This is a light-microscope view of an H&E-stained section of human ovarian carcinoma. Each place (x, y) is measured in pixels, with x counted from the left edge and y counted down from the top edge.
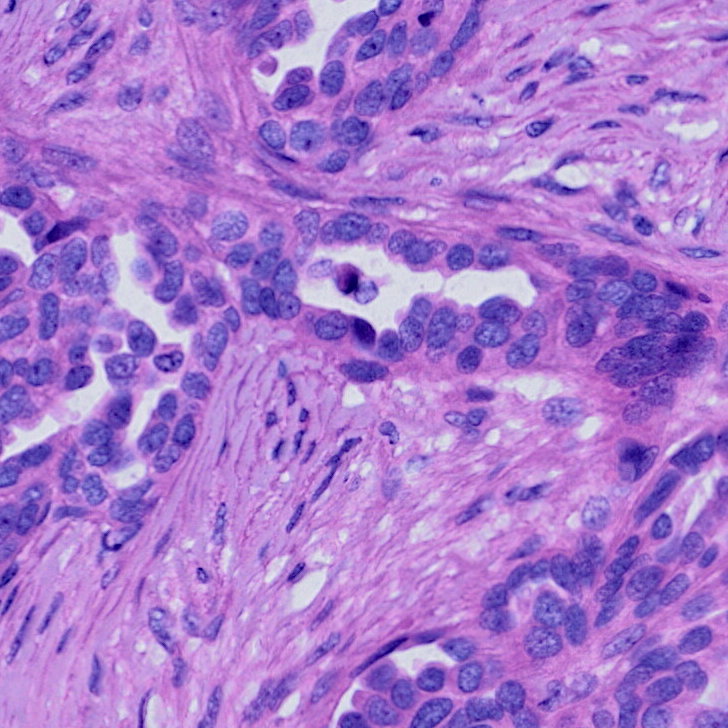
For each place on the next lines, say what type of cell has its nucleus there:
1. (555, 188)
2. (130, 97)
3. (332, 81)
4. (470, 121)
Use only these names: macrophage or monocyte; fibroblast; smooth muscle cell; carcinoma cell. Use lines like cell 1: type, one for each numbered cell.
cell 1: fibroblast
cell 2: fibroblast
cell 3: carcinoma cell
cell 4: fibroblast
